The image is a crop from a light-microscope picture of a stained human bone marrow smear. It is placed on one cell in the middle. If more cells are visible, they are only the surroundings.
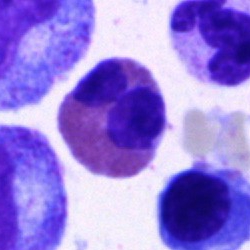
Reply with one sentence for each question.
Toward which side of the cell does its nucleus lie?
Seen from the middle of the cell, the nucleus lies toward the upper right.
